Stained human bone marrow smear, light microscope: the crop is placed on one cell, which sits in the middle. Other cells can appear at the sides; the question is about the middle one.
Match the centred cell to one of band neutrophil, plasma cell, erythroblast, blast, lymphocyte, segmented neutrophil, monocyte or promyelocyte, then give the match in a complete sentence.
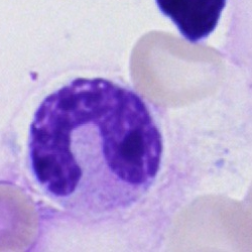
In the crop, the cell of interest at the centre is a band neutrophil.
